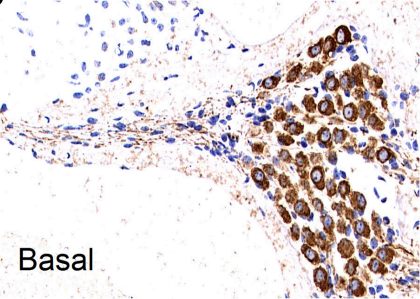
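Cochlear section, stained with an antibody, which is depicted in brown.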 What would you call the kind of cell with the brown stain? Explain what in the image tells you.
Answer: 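Spiral ganglion neurons. Large rounded brown cell bodies crowd a wedge-shaped cluster. Pale round nuclei sit in many of the brown cells. Small blue nuclei of other cells lie in the tissue around the cluster.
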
